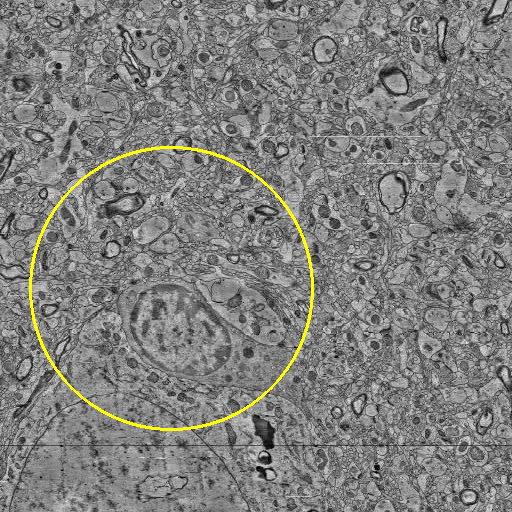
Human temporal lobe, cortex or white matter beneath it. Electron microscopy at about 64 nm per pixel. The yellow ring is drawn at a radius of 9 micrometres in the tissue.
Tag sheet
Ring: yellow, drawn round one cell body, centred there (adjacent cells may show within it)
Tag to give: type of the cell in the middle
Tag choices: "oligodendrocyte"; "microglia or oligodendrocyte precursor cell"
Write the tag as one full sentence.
I tag the cell centred in the yellow ring as an oligodendrocyte in this picture.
